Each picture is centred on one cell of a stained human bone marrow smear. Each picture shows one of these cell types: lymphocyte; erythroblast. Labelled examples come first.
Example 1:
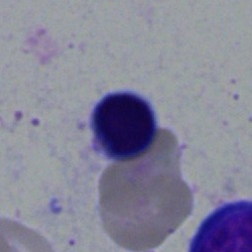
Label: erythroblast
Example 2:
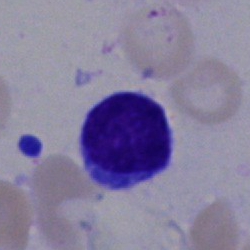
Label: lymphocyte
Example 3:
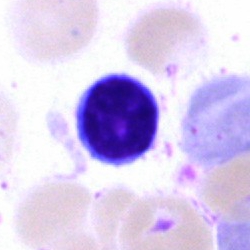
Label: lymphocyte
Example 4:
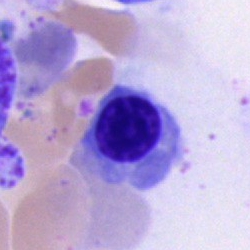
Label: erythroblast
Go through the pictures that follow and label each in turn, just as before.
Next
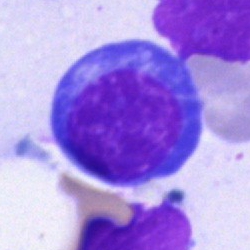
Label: erythroblast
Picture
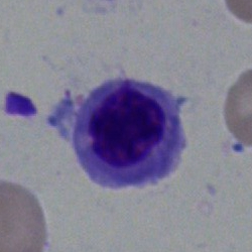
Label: erythroblast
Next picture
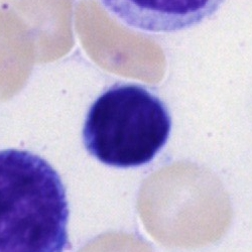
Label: lymphocyte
